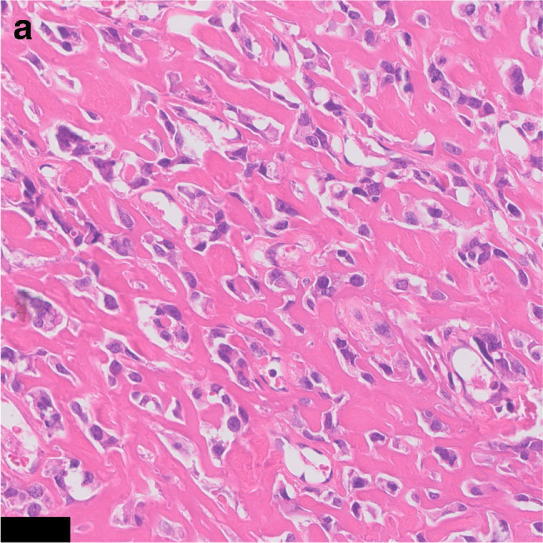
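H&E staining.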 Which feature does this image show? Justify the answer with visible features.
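Lace-like osteoid. Dense pink, homogeneous matrix forms a branching, net-like meshwork across the field. Cells lie singly or in small groups in spaces enclosed by the pink matrix.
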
